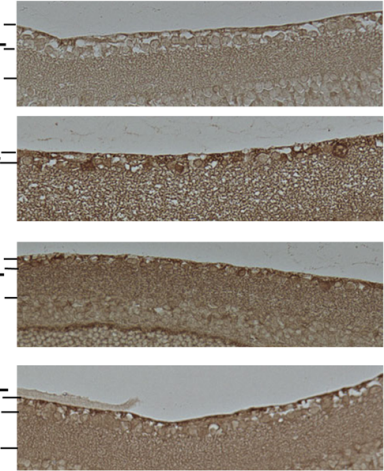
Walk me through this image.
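Four strips of the inner retina, each with a thin ganglion cell layer of rounded cell bodies at the inner surface. Below it lies a wide inner plexiform layer of fine granular texture. Brown staining lines the ganglion cell layer, and in some strips it outlines individual cell bodies.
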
